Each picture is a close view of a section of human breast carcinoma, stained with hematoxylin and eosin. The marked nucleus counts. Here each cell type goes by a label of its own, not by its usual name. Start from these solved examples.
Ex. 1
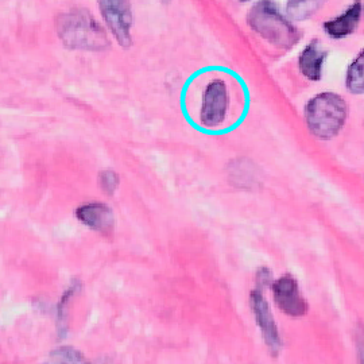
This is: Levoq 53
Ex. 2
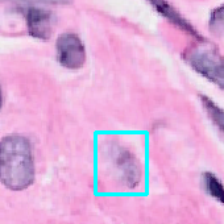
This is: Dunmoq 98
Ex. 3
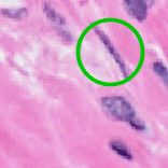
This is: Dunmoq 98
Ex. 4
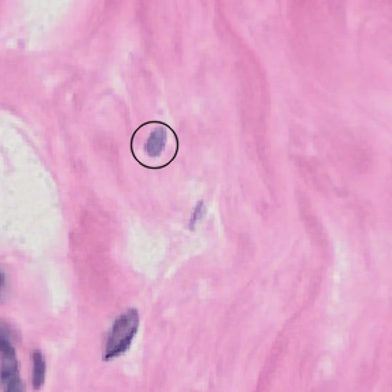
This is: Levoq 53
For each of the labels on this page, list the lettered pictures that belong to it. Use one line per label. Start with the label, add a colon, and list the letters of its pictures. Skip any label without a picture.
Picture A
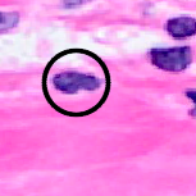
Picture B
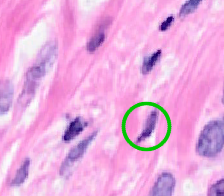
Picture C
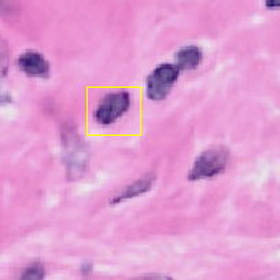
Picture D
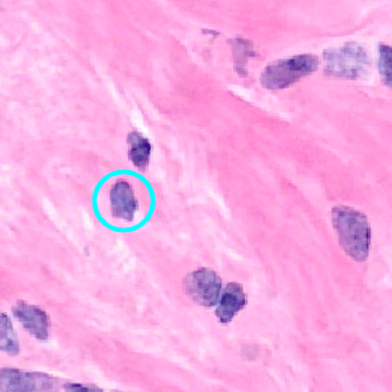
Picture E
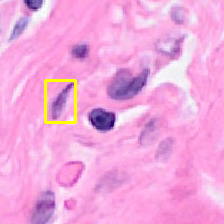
Levoq 53: A, C, D
Dunmoq 98: B, E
